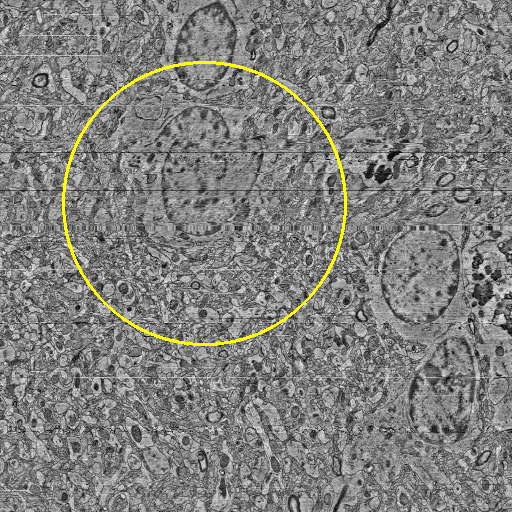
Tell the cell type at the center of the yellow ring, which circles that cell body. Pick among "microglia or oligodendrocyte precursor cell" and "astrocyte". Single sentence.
The ring is centered on the body of an astrocyte.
